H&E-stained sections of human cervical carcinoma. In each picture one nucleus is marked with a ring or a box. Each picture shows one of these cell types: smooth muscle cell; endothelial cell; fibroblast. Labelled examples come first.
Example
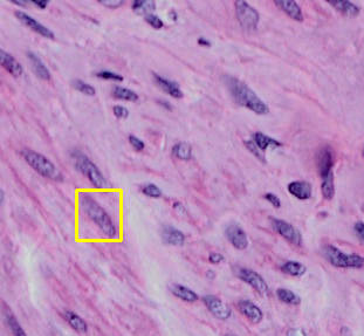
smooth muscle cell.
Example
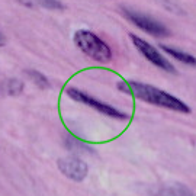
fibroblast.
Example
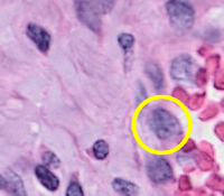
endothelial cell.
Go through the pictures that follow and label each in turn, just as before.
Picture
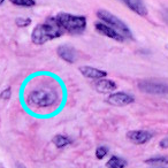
smooth muscle cell.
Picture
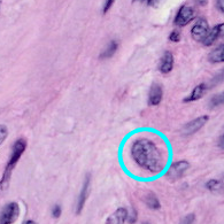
smooth muscle cell.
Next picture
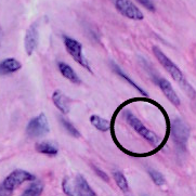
smooth muscle cell.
